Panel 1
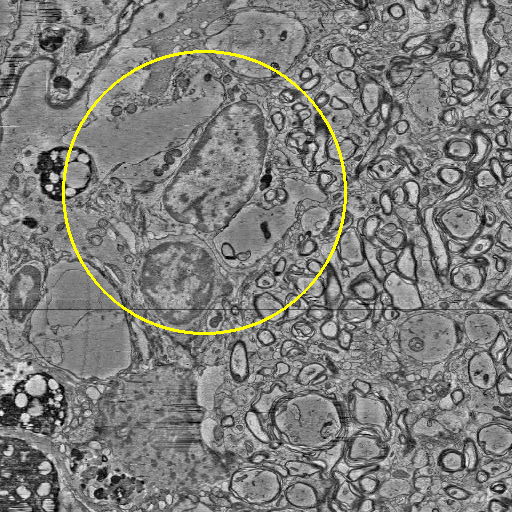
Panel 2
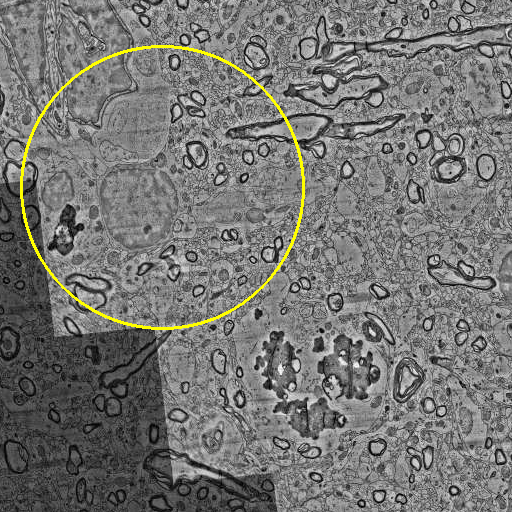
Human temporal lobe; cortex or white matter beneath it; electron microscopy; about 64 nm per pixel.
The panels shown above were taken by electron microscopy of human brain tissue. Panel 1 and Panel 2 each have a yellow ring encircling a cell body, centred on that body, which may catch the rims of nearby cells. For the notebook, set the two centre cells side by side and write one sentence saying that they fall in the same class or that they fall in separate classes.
The centred cells of Panel 1 and Panel 2 fall in separate classes.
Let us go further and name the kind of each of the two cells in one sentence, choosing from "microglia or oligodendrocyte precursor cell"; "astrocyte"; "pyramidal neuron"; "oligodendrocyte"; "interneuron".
The ring of the first picture is on a microglial cell or oligodendrocyte precursor cell, the ring of the second on an oligodendrocyte.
